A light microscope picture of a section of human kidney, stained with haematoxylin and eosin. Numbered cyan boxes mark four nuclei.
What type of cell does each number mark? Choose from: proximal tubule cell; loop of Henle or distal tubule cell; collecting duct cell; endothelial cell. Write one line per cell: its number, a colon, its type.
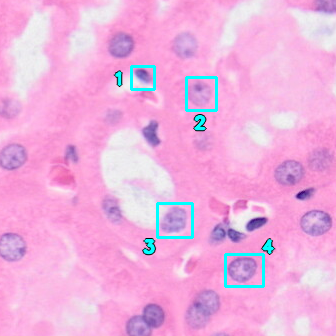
1: endothelial cell
2: proximal tubule cell
3: loop of Henle or distal tubule cell
4: proximal tubule cell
